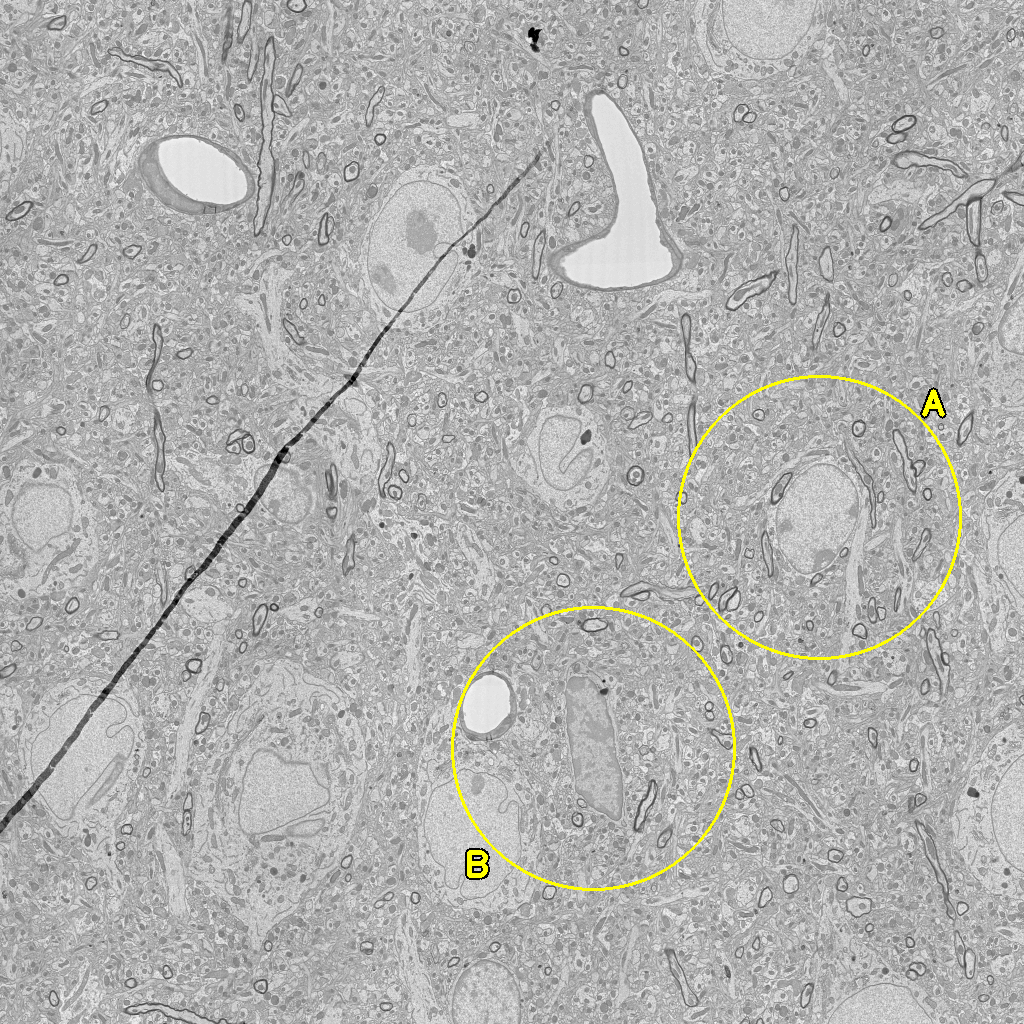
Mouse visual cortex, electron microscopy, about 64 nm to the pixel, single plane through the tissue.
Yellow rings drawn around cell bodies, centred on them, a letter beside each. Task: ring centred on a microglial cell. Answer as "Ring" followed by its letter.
Ring B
